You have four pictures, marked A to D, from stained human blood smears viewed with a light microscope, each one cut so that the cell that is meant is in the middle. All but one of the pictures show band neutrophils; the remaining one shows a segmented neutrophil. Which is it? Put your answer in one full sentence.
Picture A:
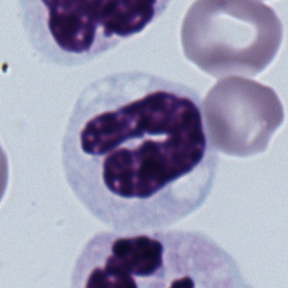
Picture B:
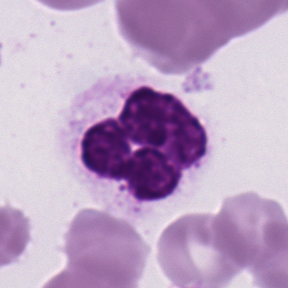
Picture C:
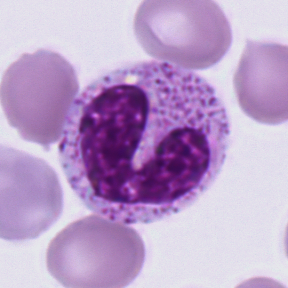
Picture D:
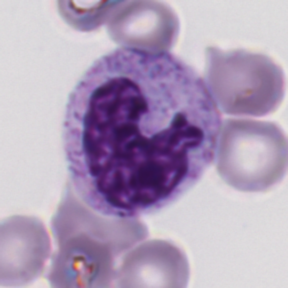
Picture B shows the segmented neutrophil.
